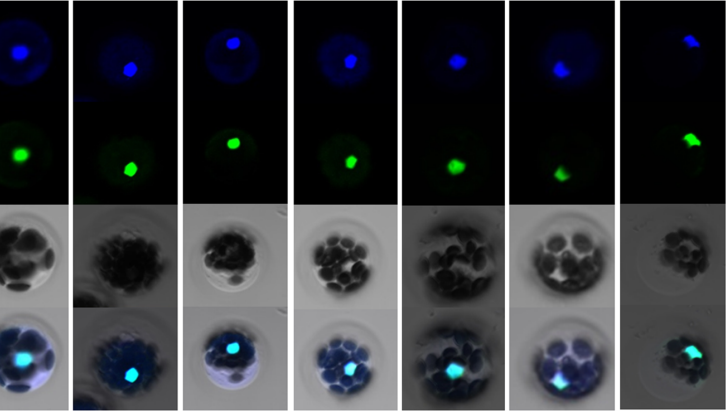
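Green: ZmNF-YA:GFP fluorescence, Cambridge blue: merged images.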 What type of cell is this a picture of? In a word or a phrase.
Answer: mesophyll cells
